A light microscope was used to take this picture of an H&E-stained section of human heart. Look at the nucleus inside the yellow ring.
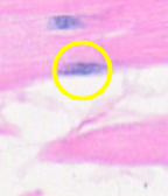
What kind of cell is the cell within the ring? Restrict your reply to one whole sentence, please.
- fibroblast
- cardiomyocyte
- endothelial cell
In this section, the cell within the ring is an endothelial cell.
